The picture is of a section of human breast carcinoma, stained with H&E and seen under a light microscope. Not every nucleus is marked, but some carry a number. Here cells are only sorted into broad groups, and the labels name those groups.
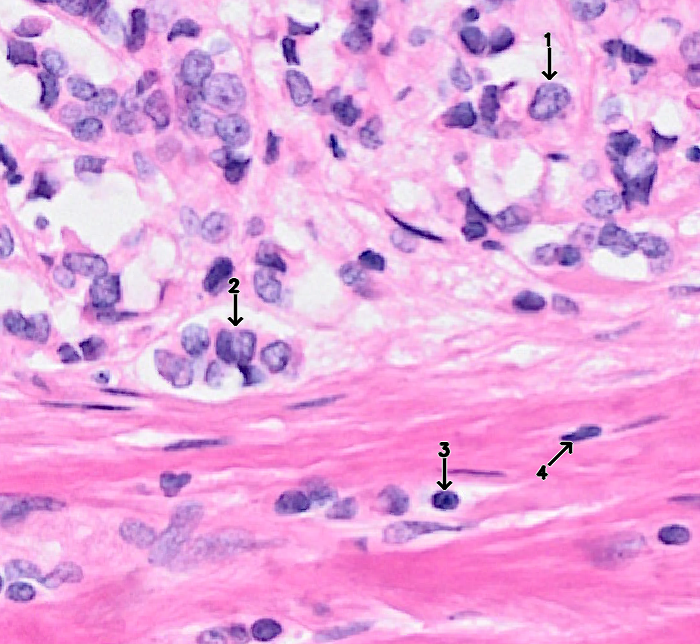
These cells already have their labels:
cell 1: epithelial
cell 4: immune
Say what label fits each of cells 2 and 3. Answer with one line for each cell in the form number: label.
2: epithelial
3: immune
